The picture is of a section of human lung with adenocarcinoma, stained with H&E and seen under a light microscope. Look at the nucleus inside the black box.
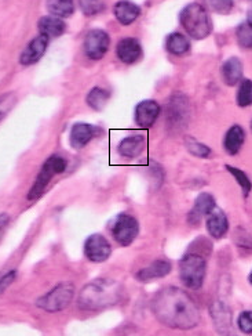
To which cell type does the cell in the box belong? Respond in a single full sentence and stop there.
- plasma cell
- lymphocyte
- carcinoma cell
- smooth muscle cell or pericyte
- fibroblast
In this tissue section, the cell in the box is to be classed as a lymphocyte.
